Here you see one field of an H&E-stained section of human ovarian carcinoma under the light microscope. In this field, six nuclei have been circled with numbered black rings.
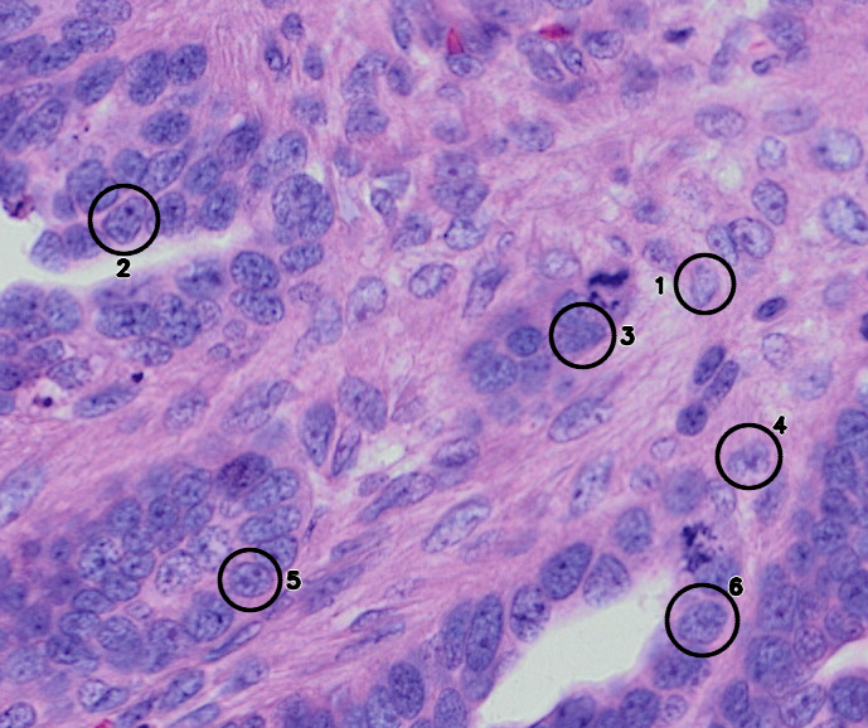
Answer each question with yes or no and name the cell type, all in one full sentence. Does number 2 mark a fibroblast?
No, number 2 is not a fibroblast; it is a carcinoma cell.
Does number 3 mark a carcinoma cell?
Yes, the number 3 belongs to a carcinoma cell.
